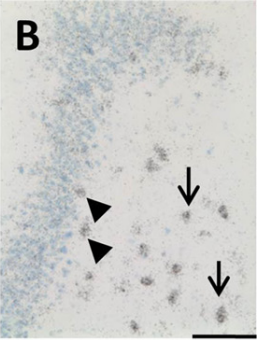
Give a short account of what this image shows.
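Dentate gyrus showing the granule cell layer and the adjoining hilus. Along one side runs a broad band of densely packed, small, round blue-stained nuclei of granule cells. Beside it lies a paler, sparsely celled region, the hilus, in which scattered cells are covered by compact dark clusters of black silver grains. Most of these labelled cells sit well away from the cell band, deep in the hilus, while only a few grain clusters lie right at the inner border of the band, in the narrow subgranular zone. Background grains are sparse between the labelled cells.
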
